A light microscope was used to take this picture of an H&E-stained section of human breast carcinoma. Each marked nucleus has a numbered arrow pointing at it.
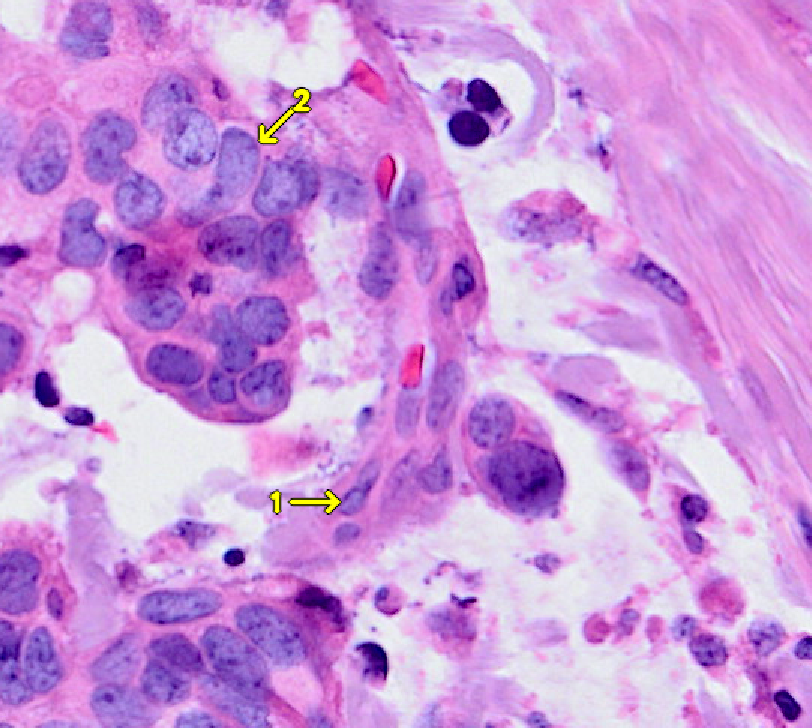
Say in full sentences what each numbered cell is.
Cell 1 is an endothelial cell. Cell 2 is a carcinoma cell.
